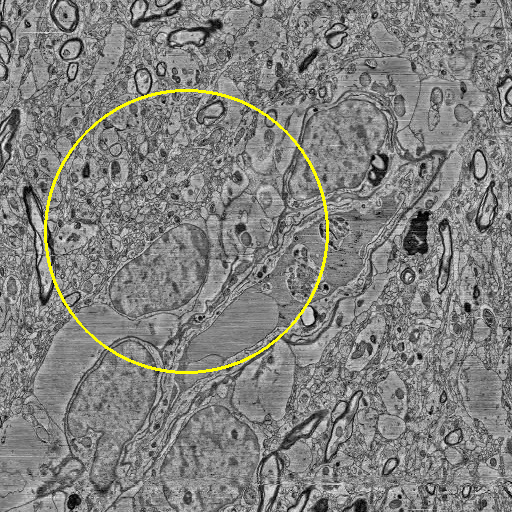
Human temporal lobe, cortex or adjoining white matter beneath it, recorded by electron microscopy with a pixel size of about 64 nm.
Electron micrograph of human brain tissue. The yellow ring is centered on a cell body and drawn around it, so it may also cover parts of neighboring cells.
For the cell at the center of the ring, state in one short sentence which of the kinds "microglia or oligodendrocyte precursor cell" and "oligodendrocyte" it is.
This ring is centered on a microglial cell or oligodendrocyte precursor cell.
